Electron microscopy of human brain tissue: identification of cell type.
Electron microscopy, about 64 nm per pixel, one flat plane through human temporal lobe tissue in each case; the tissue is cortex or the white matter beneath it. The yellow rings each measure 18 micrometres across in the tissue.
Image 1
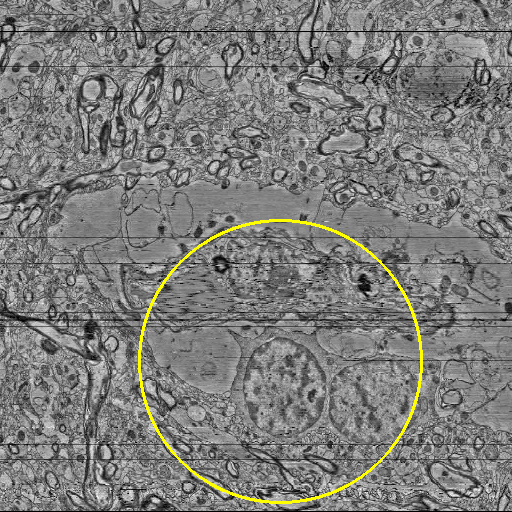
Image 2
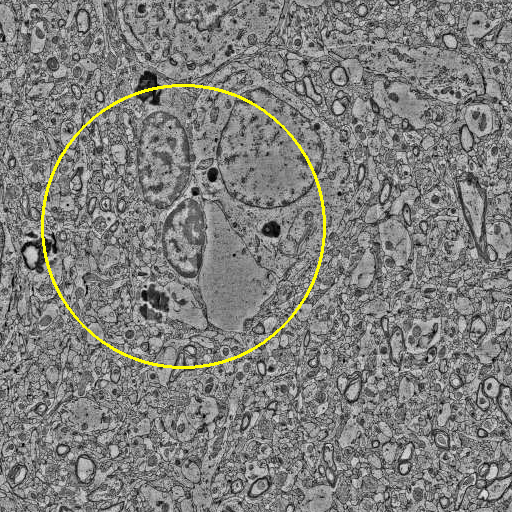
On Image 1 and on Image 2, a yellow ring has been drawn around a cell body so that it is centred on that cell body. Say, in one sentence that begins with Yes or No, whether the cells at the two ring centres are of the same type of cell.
No, the two cells are two separate types of cell.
